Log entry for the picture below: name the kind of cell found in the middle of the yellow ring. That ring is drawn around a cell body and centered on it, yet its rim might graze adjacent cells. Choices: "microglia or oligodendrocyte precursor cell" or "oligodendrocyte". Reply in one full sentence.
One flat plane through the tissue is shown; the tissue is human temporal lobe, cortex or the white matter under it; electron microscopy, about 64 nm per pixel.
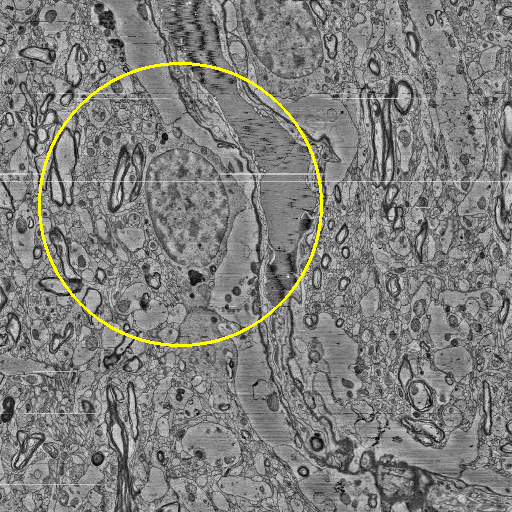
The cell in the middle of the yellow ring in this picture is an oligodendrocyte.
